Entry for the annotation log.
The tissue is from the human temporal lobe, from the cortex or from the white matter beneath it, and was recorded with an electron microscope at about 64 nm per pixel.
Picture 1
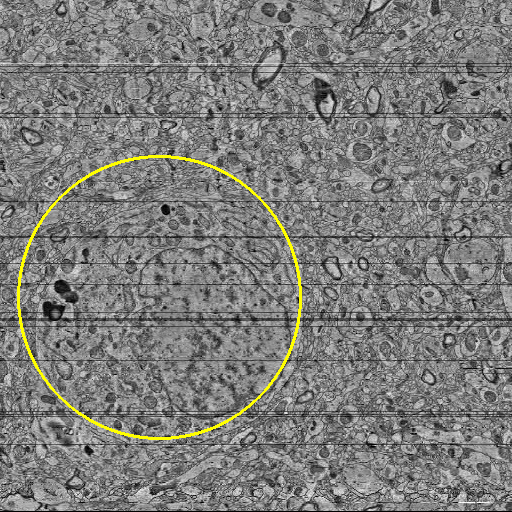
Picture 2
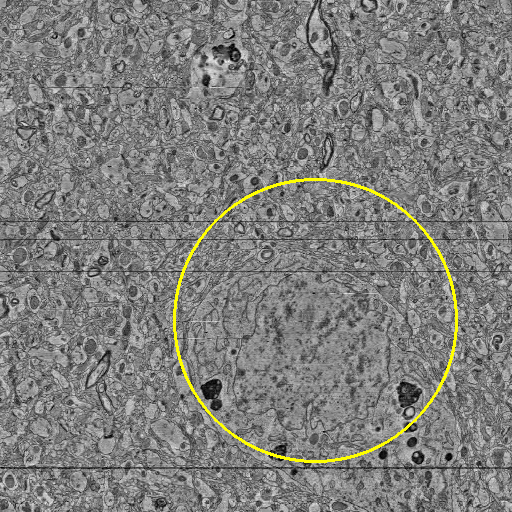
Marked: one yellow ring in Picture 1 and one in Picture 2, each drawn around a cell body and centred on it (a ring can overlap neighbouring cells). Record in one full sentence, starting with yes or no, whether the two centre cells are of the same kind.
Yes, both cells are of the same kind.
